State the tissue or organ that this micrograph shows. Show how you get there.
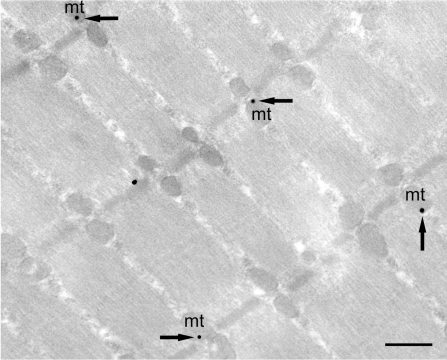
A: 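Parallel myofibrils crossed by regularly spaced dark transverse lines. Repeating sarcomere banding along the fibrils. Small mitochondria sit in pairs beside the transverse lines. That points to this answer: striated muscles.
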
